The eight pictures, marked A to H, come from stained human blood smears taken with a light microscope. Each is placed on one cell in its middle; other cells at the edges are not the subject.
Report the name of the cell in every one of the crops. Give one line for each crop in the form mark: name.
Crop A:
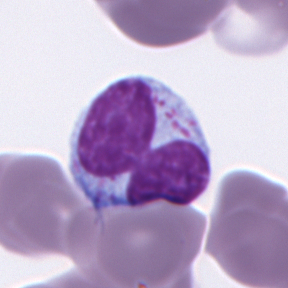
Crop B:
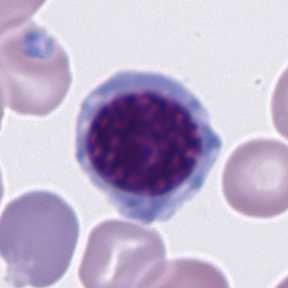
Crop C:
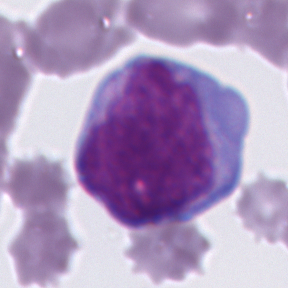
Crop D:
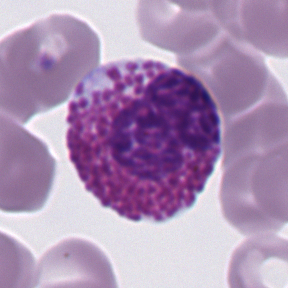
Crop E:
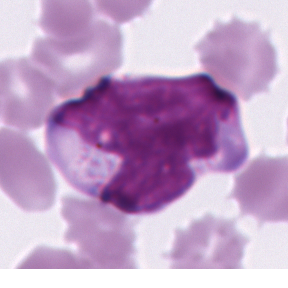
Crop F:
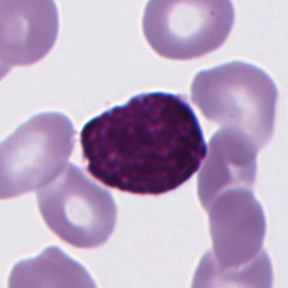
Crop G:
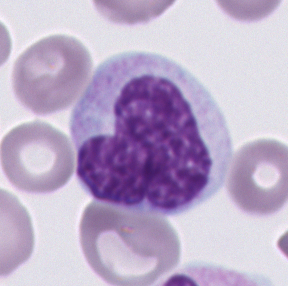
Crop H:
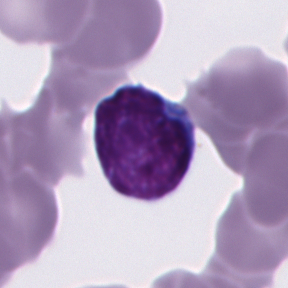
A: large granular lymphocyte
B: normoblast
C: myeloblast
D: eosinophil
E: large granular lymphocyte
F: myeloblast
G: band neutrophil
H: typical lymphocyte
